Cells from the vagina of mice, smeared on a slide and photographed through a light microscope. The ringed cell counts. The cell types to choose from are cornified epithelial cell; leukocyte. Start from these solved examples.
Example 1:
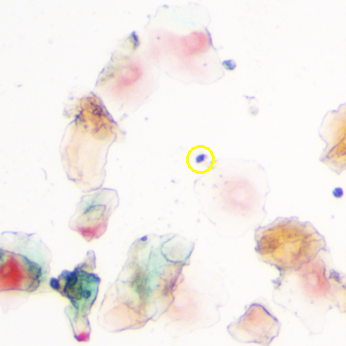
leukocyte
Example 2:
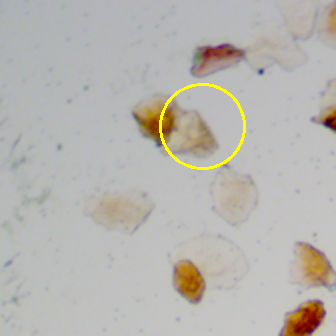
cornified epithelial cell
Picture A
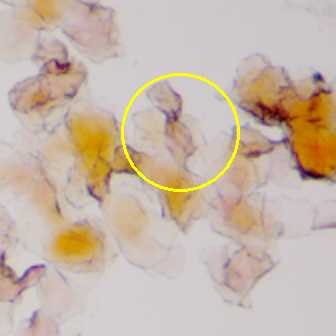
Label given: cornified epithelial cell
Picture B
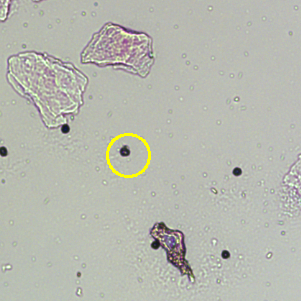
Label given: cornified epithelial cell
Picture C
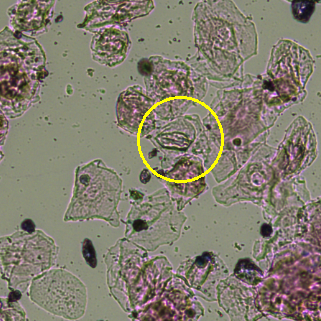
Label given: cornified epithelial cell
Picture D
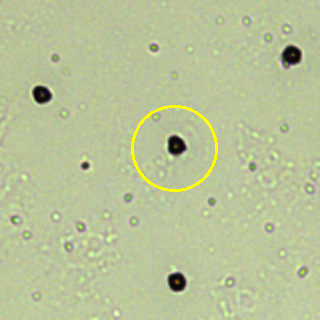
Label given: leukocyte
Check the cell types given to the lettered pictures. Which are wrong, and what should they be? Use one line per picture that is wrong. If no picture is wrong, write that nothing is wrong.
B: leukocyte, not cornified epithelial cell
